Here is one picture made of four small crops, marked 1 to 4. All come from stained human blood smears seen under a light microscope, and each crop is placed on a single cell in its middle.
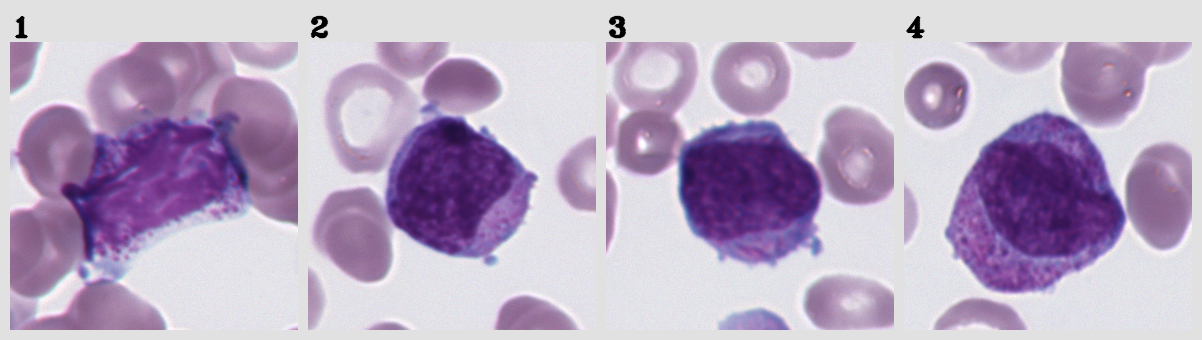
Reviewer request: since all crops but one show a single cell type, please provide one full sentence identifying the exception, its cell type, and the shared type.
The remaining crops are all atypical promyelocytes, so crop 1, being a myelocyte, is the exception.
